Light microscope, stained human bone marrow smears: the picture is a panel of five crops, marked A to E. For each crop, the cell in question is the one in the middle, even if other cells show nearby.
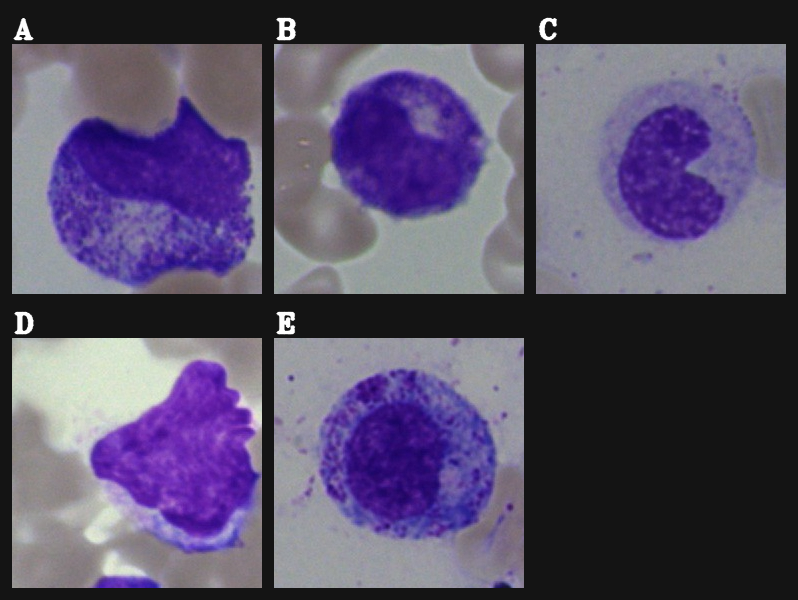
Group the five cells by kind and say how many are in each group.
metamyelocyte: 2
band neutrophil: 1
blast: 1
myelocyte: 1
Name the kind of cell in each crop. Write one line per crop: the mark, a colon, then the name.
A: metamyelocyte
B: metamyelocyte
C: band neutrophil
D: blast
E: myelocyte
